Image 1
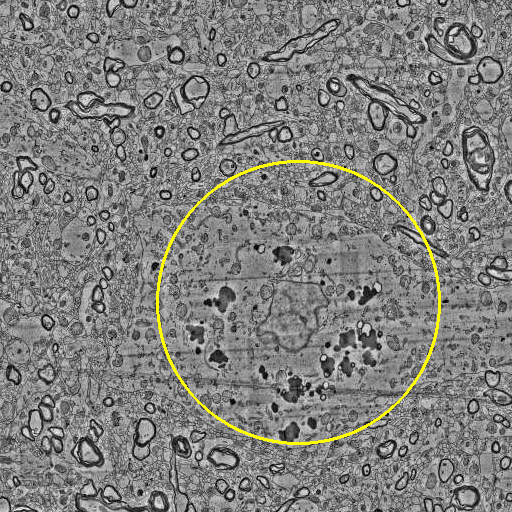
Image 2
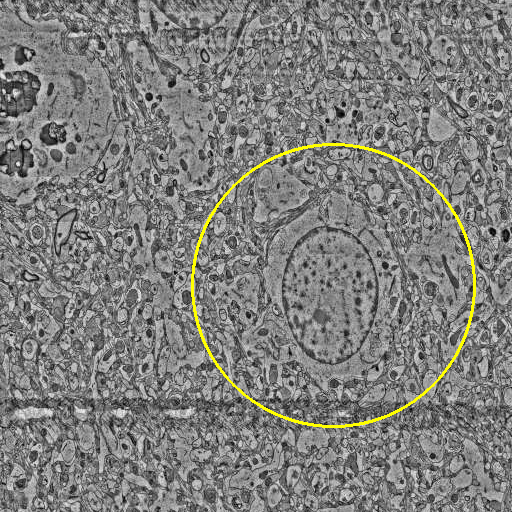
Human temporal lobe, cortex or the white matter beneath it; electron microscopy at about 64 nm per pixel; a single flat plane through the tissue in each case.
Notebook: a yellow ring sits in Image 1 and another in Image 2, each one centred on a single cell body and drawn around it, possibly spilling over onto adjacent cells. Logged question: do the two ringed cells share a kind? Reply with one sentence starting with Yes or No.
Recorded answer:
No, the centre cells inside the rings of Image 1 and Image 2 are of two kinds.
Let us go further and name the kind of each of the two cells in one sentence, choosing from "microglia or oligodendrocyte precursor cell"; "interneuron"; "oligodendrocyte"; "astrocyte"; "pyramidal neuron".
The ring of the first picture is on a pyramidal neuron, the ring of the second on an astrocyte.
